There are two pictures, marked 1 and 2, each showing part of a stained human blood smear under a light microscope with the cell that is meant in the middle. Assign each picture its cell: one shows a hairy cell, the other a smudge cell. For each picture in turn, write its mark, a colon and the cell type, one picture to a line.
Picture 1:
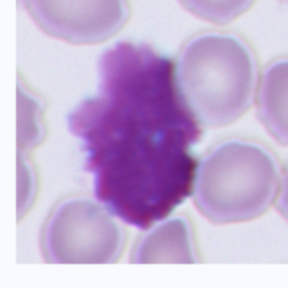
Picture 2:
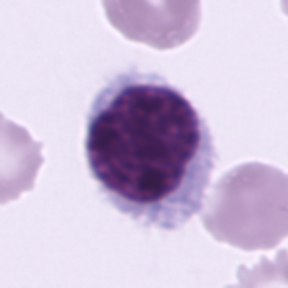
1: smudge cell
2: hairy cell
